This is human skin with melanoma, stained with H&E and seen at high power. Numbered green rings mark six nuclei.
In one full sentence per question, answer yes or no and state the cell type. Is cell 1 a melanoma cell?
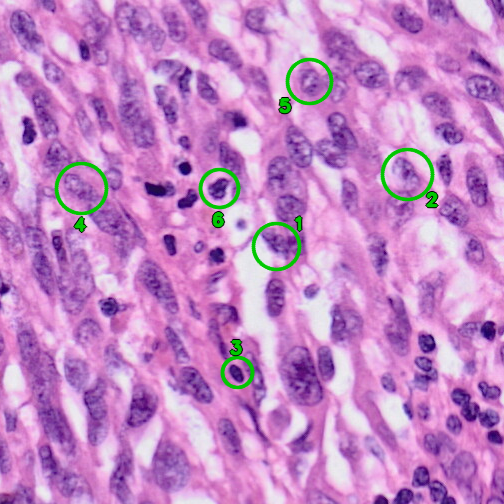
Yes, the marked cell with number 1 is a melanoma cell.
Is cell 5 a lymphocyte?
No, number 5 is assigned to a melanoma cell, not to a lymphocyte.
